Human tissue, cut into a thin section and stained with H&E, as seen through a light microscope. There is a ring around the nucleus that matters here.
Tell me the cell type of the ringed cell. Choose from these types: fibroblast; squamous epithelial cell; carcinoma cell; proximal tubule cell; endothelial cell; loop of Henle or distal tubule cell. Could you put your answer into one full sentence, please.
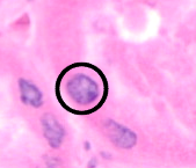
As a matter of cell type, the ringed cell is a proximal tubule cell.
